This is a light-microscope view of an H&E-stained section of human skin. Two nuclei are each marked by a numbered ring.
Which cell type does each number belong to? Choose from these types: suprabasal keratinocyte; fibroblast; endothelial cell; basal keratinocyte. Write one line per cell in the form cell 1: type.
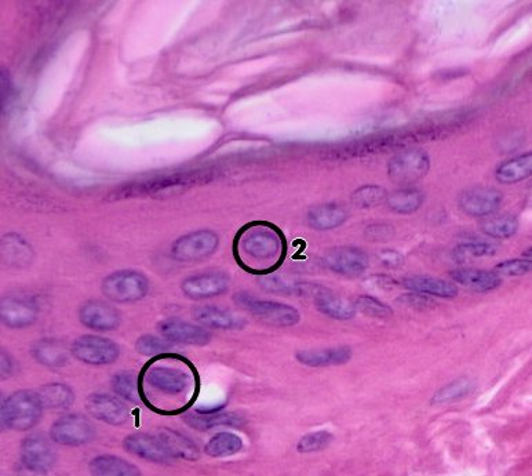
cell 1: basal keratinocyte
cell 2: suprabasal keratinocyte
